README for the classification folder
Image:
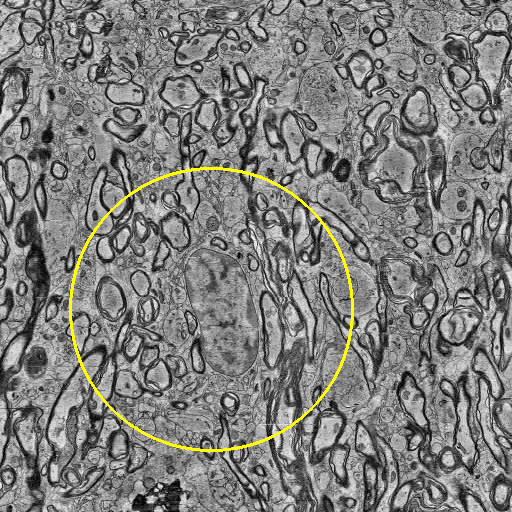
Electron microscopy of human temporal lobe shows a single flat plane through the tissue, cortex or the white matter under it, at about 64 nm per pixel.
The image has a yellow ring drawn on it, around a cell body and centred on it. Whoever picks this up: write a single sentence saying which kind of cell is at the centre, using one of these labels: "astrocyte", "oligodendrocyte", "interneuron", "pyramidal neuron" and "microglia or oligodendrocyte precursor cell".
This cell body is that of a microglial cell or oligodendrocyte precursor cell.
